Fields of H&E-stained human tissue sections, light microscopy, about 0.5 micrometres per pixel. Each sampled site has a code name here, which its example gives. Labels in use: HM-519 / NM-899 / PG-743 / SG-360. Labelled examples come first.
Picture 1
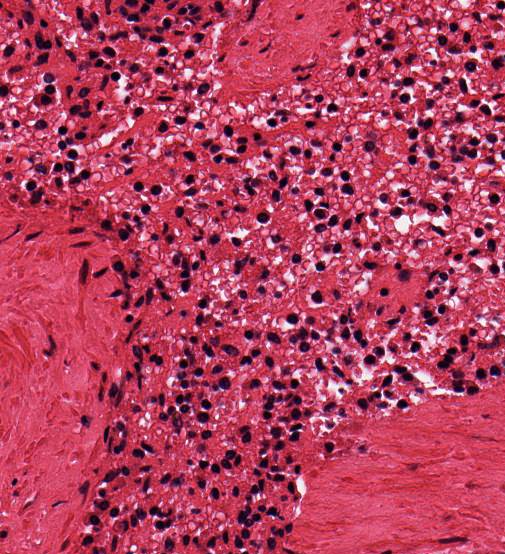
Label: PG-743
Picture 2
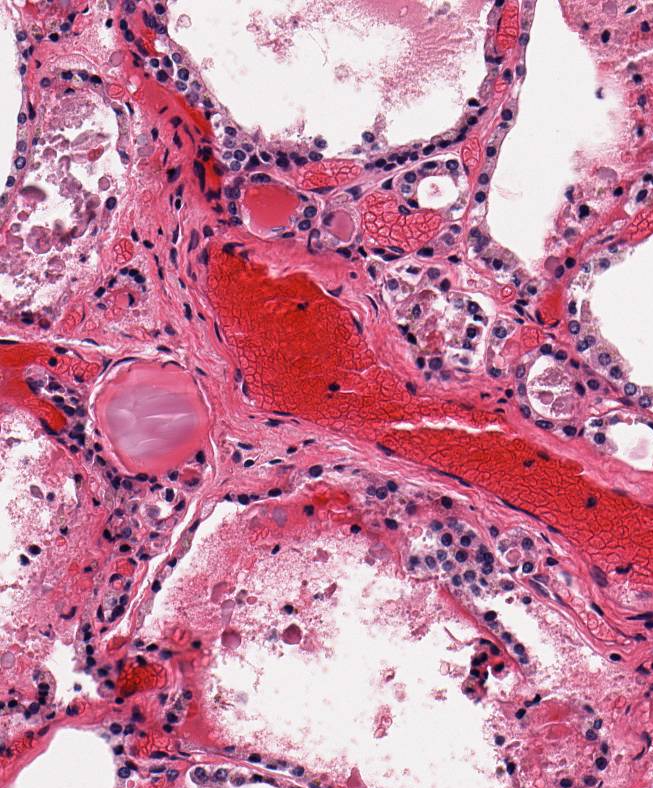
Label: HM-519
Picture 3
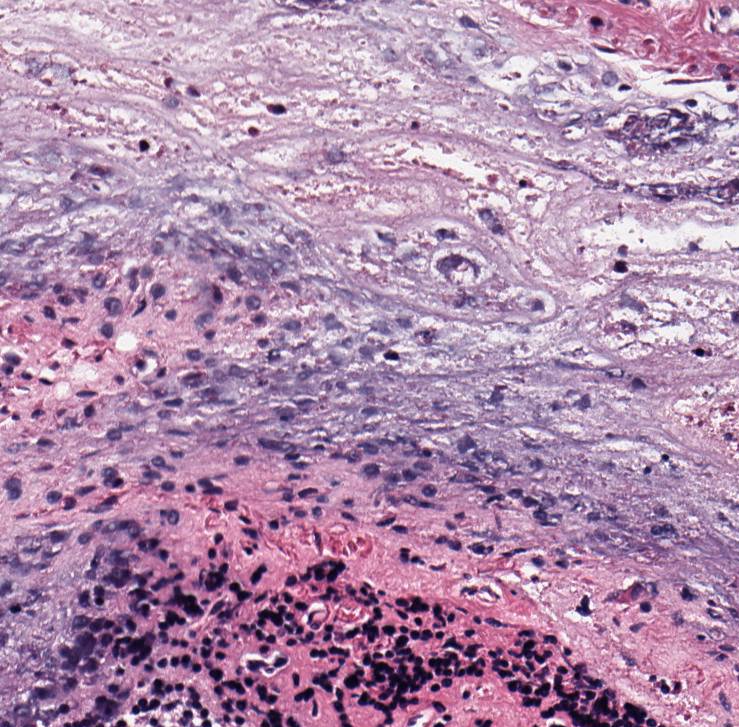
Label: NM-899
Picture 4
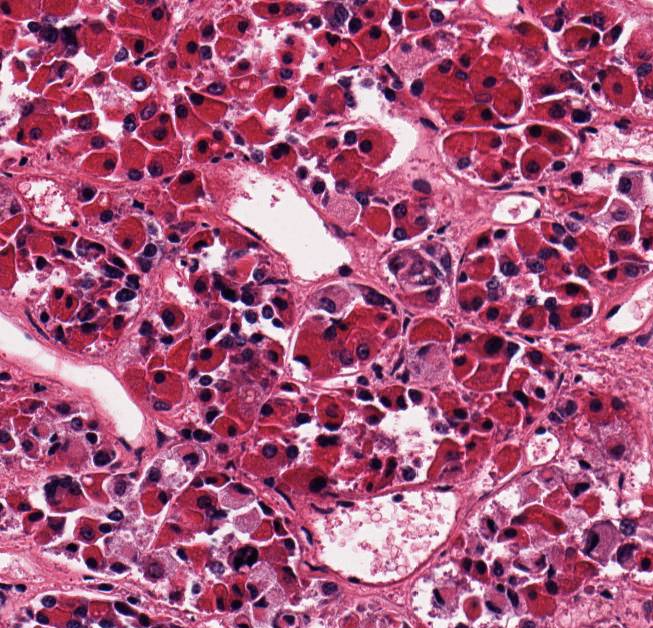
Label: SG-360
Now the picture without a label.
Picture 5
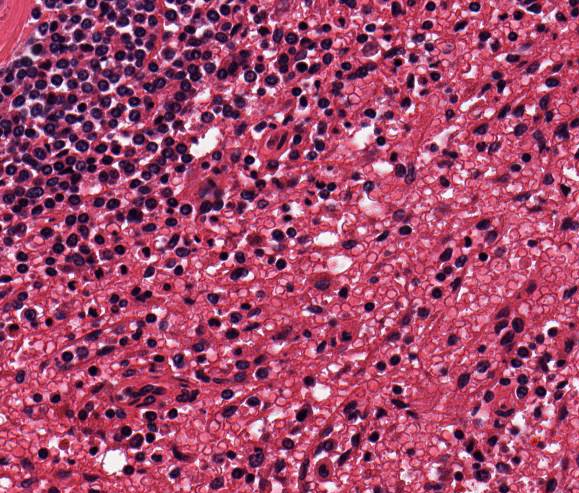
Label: PG-743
